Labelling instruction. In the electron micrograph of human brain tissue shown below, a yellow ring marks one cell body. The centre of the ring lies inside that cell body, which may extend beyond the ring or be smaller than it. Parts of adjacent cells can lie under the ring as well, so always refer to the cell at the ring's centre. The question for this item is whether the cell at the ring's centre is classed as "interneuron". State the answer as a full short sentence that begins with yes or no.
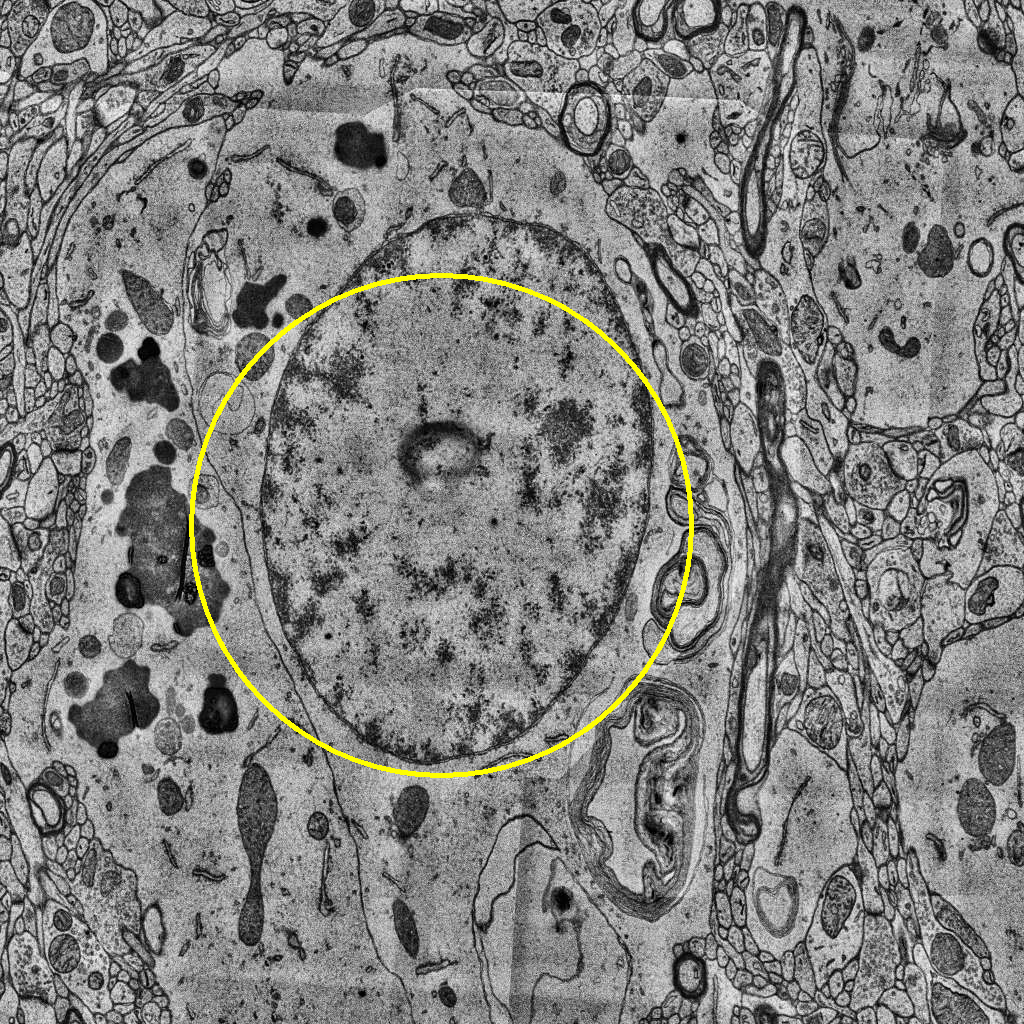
No, the cell at the ring's centre belongs to another class.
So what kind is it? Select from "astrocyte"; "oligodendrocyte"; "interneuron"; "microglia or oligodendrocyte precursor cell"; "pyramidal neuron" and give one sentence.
The ring's central cell is an astrocyte instead.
